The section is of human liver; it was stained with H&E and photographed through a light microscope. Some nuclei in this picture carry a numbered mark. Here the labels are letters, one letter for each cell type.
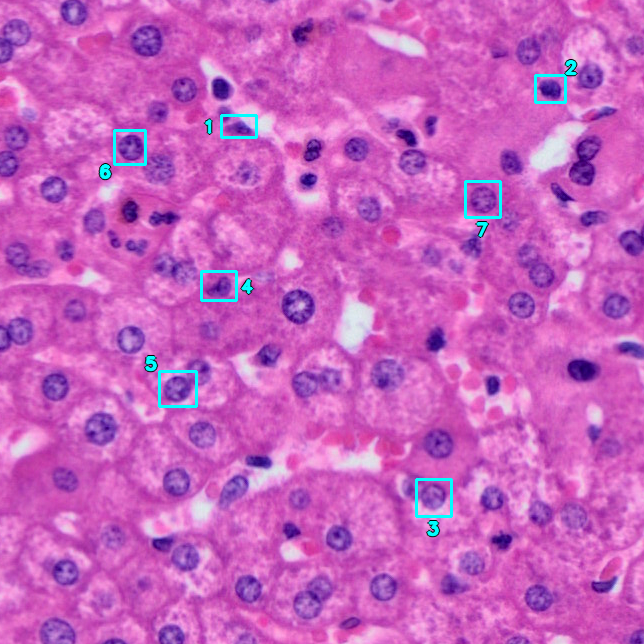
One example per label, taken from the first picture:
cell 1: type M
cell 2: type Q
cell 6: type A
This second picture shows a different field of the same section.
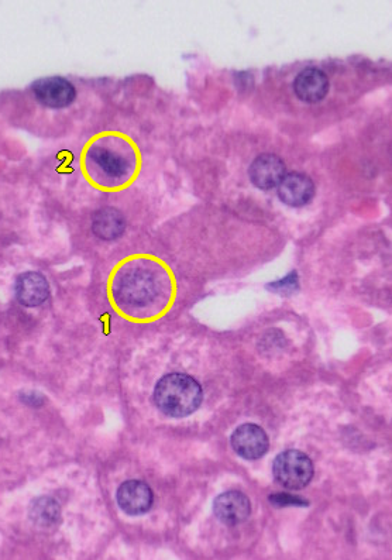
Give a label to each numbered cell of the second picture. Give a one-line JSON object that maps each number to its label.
{"1": "type A", "2": "type Q"}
